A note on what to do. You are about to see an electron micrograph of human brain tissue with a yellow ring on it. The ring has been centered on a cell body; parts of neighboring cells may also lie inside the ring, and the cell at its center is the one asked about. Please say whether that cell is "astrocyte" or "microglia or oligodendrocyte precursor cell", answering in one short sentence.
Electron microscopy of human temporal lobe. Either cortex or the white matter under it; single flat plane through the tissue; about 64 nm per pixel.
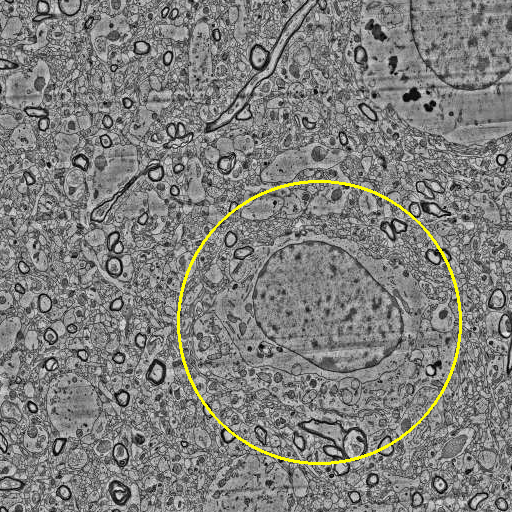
The yellow ring sits on a microglial cell or oligodendrocyte precursor cell.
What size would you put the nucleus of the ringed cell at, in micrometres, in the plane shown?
In this plane the nucleus is about 10 micrometres by 7.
